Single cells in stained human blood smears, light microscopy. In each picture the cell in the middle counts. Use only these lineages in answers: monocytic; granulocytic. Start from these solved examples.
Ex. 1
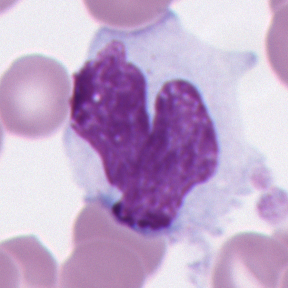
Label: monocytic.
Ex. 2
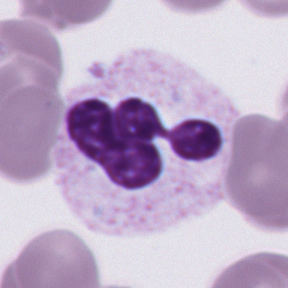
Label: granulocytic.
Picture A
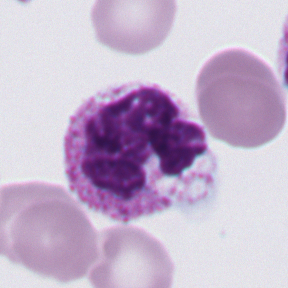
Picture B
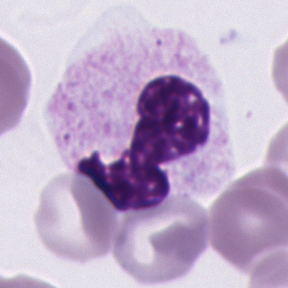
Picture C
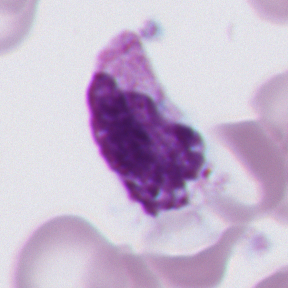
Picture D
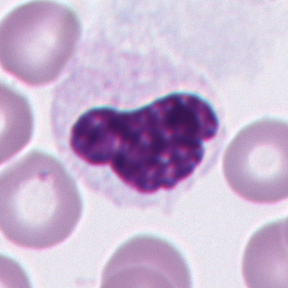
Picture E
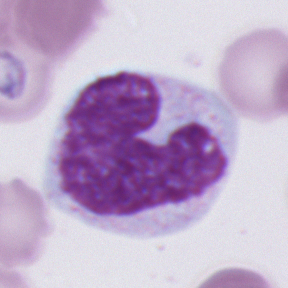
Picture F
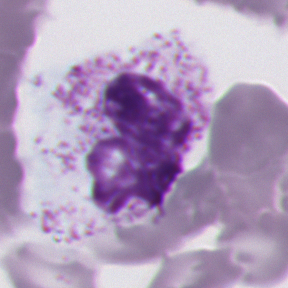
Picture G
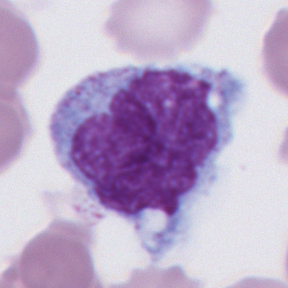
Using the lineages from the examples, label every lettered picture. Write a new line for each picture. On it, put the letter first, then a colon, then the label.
A: granulocytic.
B: granulocytic.
C: granulocytic.
D: granulocytic.
E: monocytic.
F: granulocytic.
G: monocytic.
